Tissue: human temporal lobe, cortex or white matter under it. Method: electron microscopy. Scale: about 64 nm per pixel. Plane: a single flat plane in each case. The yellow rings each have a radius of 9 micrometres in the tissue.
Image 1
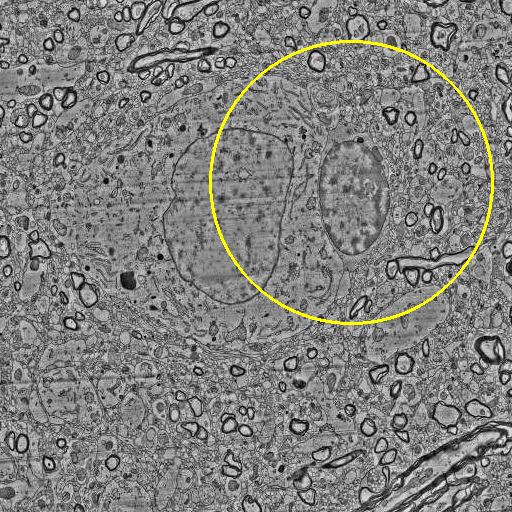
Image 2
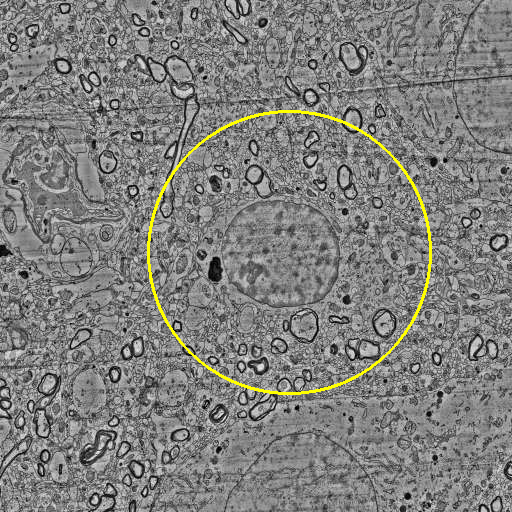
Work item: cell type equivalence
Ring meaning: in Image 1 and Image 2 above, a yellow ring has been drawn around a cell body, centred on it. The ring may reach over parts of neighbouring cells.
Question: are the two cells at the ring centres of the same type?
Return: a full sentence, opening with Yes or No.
Yes, the two centred cells are of the same type.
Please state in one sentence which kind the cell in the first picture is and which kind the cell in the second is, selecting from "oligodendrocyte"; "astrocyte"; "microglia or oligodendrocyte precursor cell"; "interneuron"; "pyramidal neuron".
In both pictures the ring is centred on an oligodendrocyte.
